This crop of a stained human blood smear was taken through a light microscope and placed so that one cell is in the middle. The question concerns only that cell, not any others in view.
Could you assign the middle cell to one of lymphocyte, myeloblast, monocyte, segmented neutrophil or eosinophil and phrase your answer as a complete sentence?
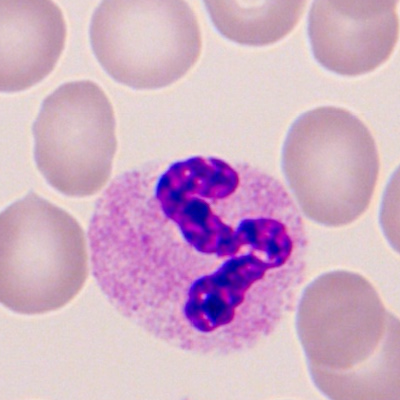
The cell positioned in the middle of the field is a segmented neutrophil.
